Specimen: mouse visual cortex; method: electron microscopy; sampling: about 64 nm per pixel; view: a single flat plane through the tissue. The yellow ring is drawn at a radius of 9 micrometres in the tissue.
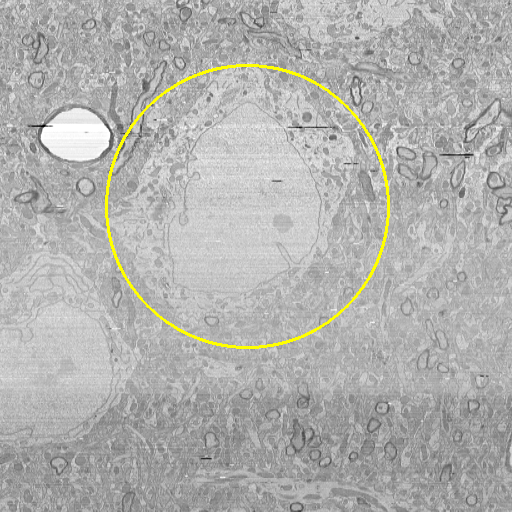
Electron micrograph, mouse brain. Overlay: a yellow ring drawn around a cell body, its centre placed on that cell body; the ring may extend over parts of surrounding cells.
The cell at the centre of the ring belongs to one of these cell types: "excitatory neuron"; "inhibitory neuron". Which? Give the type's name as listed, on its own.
excitatory neuron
